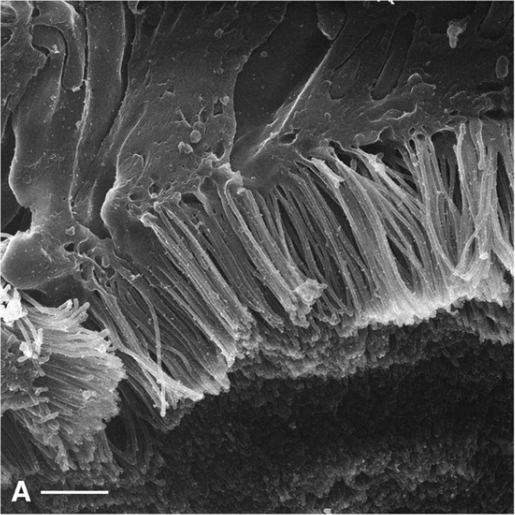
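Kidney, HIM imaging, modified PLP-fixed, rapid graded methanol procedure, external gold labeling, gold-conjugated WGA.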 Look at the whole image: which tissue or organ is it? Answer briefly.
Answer: Proximal tubule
